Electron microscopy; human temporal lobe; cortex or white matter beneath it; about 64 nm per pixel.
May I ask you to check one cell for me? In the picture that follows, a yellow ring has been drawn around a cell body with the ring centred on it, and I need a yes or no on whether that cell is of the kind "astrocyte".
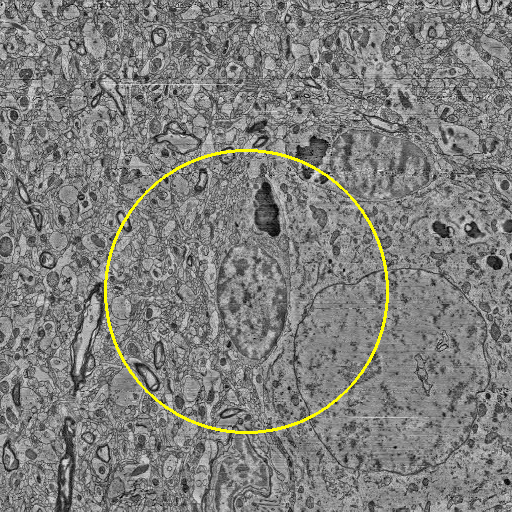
No, it is some other kind of cell.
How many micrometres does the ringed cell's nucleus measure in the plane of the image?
In this plane the nucleus measures about 8 by 4 micrometres and is clearly longer than it is wide.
